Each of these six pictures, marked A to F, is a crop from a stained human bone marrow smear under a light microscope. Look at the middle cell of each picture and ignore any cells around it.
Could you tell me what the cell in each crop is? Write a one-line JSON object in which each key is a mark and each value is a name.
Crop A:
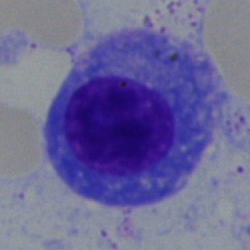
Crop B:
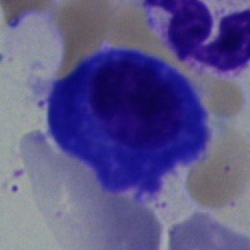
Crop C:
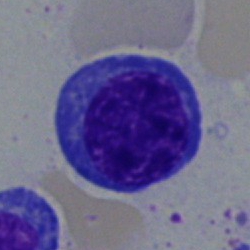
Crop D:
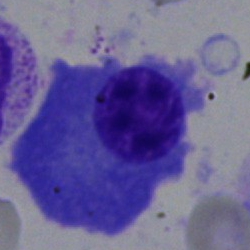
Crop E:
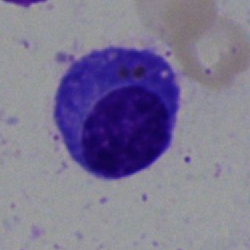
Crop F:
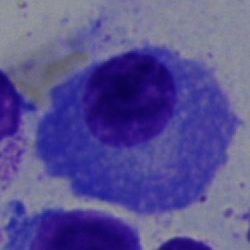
{"A": "plasma cell", "B": "plasma cell", "C": "normoblast", "D": "plasma cell", "E": "plasma cell", "F": "plasma cell"}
